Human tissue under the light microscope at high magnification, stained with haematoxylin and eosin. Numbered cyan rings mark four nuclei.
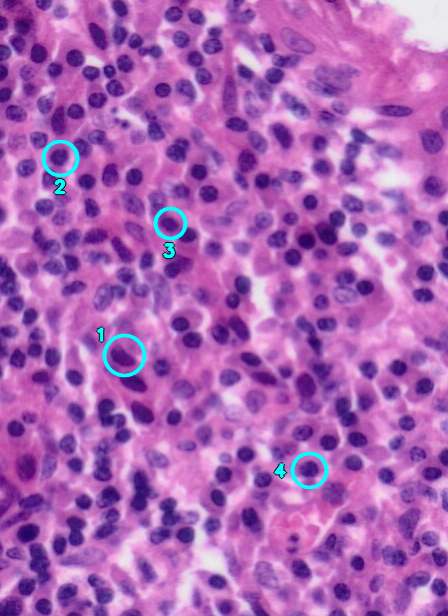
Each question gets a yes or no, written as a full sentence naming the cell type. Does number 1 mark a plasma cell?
No, it is a squamous epithelial cell, not a plasma cell, that number 1 marks.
